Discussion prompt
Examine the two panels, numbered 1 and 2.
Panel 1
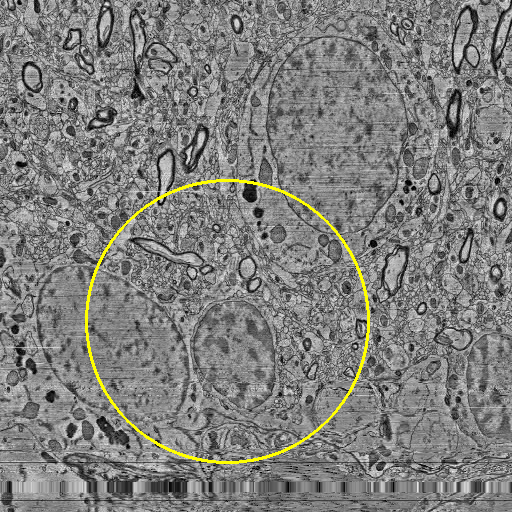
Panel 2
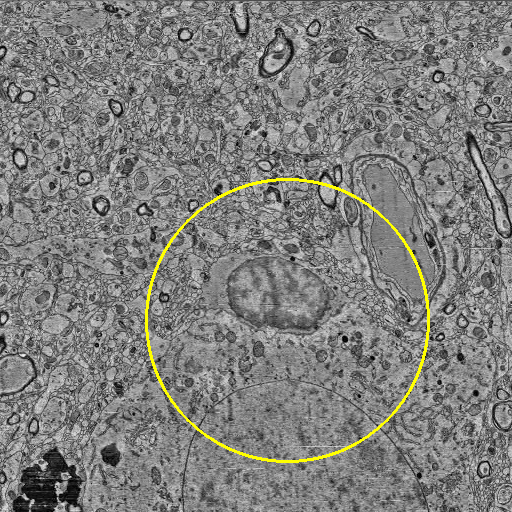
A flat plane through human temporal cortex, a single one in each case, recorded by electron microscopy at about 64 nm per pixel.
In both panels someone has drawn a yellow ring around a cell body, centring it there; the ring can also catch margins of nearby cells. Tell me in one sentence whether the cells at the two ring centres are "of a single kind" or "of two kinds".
Taken together, the two cells centred in the rings of Panels 1 and 2 are of a single kind.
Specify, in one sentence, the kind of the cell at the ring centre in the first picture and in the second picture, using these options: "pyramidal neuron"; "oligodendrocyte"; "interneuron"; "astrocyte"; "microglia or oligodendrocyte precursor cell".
Both cells are the same kind, each one being an oligodendrocyte.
